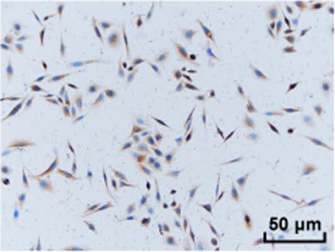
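Many cells carry a brown stain in their cytoplasm, while their oval nuclei are stained blue. The cells are spindle-shaped or polygonal, and several extend thin processes. Some cells lie singly, and others are grouped into small clusters.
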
